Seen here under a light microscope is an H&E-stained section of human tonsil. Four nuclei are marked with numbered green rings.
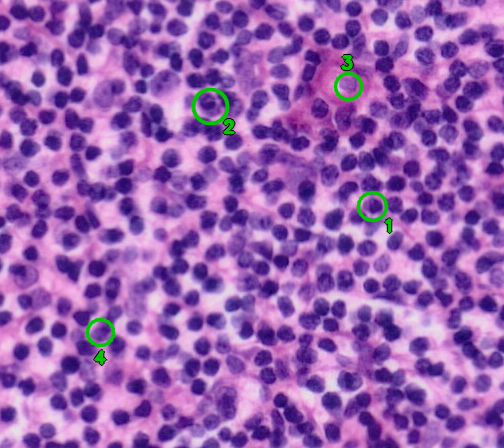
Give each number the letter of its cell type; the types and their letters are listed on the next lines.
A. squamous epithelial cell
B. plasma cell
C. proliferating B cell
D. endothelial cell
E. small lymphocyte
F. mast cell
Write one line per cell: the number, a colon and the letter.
1: E
2: E
3: D
4: E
